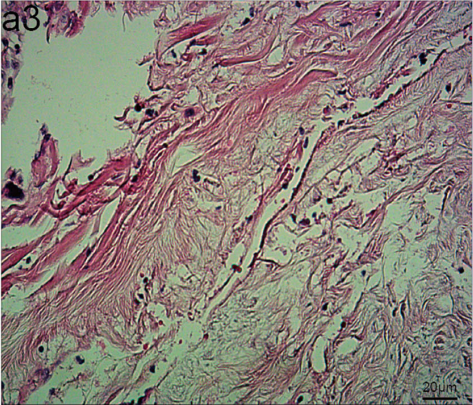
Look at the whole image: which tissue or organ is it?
Dense connective tissue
